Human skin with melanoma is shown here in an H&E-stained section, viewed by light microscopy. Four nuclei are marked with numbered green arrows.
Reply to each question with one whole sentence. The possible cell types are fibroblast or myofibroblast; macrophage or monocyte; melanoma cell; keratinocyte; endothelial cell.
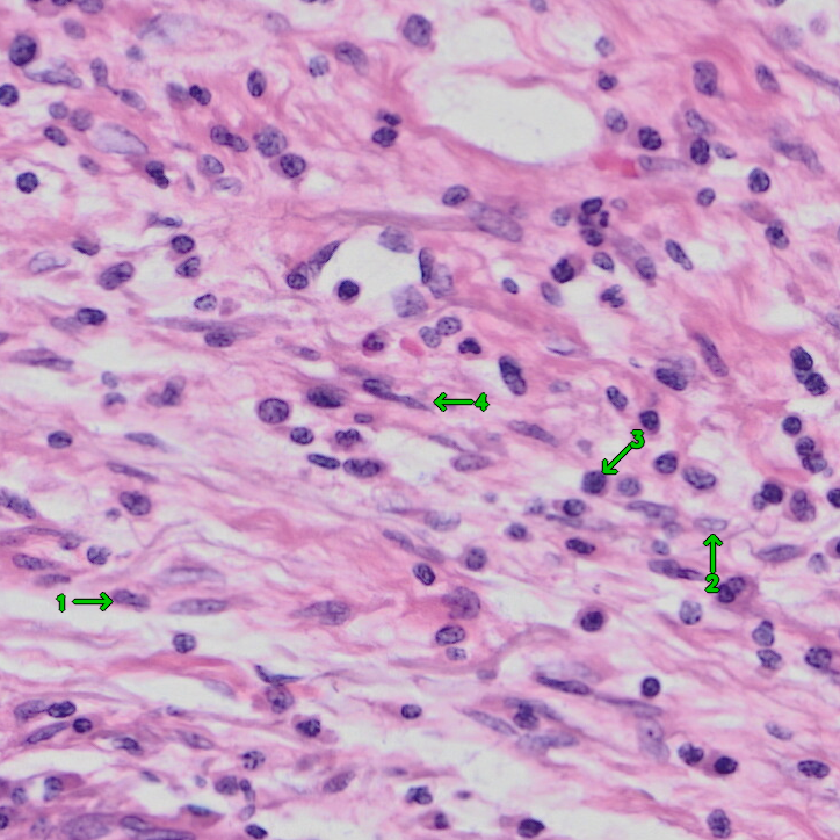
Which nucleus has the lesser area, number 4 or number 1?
The smaller nucleus is 4, and 1 covers roughly 1.5 times its area.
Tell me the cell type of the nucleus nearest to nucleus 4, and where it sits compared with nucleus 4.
The nearest nucleus is that of a macrophage or monocyte and lies above and to the left of nucleus 4.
